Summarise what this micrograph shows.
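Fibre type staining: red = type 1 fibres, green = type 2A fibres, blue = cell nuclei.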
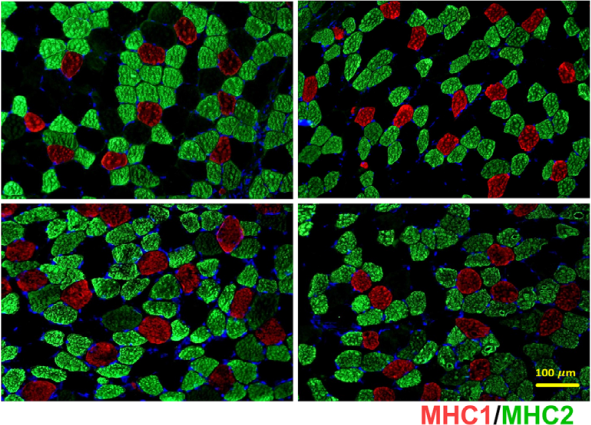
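Four fields of transversely cut skeletal muscle show closely packed myofibers in cross section. Each fiber is a rounded-to-polygonal profile, and neighbouring fibers are separated by thin dark gaps. Most fibers fill with green, finely granular fluorescence. Scattered among them, singly or in small groups, are fibers filled with red. Some fibers are dark and carry no colour. The fields differ in how densely the fibers are packed and in how many red fibers appear among the green ones.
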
